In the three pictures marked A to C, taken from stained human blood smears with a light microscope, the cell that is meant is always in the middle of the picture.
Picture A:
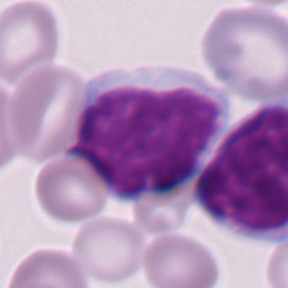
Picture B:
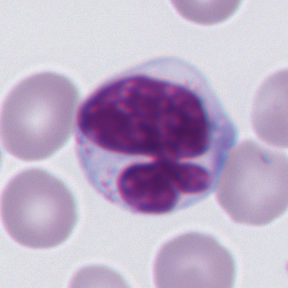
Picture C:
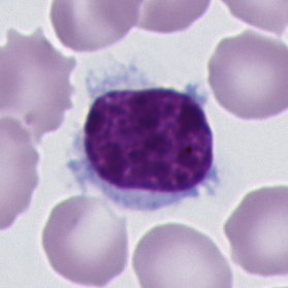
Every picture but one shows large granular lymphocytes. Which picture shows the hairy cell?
C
